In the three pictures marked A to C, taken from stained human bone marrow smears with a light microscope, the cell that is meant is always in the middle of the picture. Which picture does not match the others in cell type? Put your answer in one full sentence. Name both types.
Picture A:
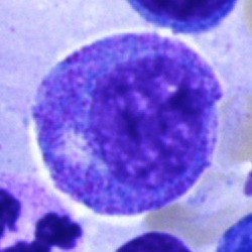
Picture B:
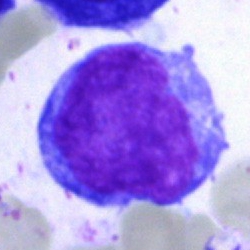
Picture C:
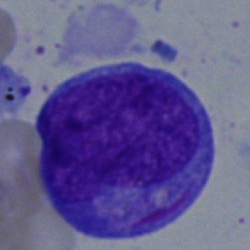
All pictures except A show blasts; picture A shows a promyelocyte.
